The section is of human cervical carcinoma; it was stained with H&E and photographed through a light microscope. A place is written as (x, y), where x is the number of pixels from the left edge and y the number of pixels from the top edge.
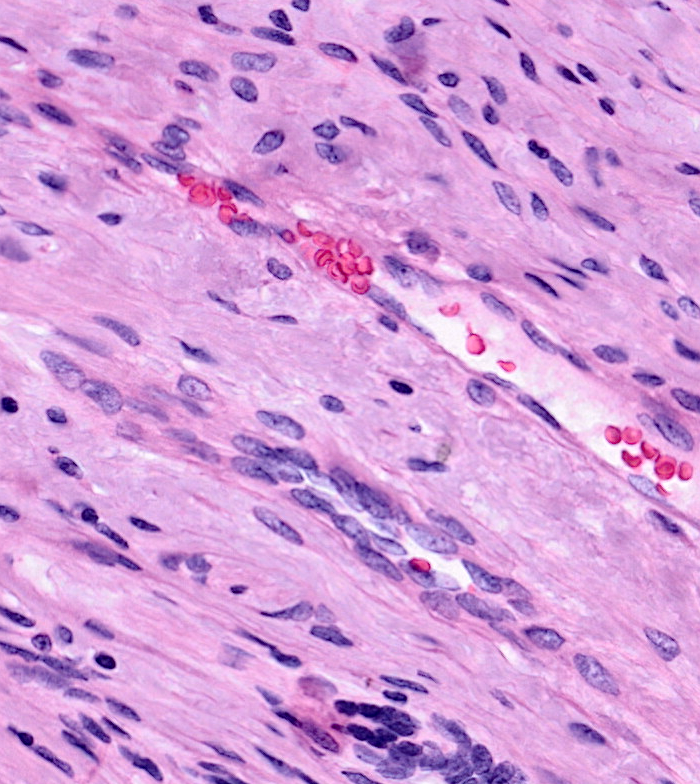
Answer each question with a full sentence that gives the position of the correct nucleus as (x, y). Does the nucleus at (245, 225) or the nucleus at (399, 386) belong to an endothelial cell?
The correct choice is the nucleus at (245, 225), which belongs to an endothelial cell.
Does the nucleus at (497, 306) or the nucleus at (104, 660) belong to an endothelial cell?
Of these two nuclei, only the one at (497, 306) belongs to an endothelial cell.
